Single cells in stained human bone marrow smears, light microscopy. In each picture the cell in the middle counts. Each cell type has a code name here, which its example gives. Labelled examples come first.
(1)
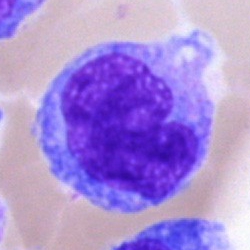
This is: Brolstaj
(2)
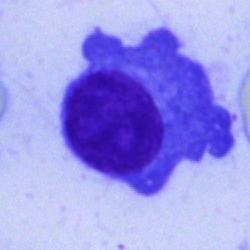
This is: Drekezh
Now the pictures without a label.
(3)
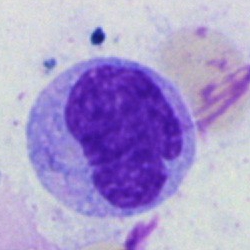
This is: Brolstaj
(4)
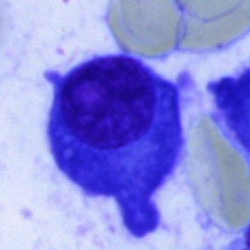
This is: Drekezh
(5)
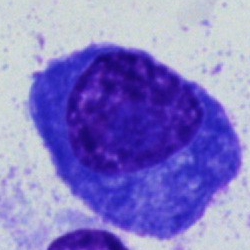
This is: Drekezh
